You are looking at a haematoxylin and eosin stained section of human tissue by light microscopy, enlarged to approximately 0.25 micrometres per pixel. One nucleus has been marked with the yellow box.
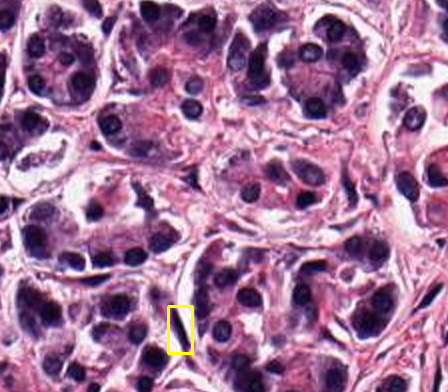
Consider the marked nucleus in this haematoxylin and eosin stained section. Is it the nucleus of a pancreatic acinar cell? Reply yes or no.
no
